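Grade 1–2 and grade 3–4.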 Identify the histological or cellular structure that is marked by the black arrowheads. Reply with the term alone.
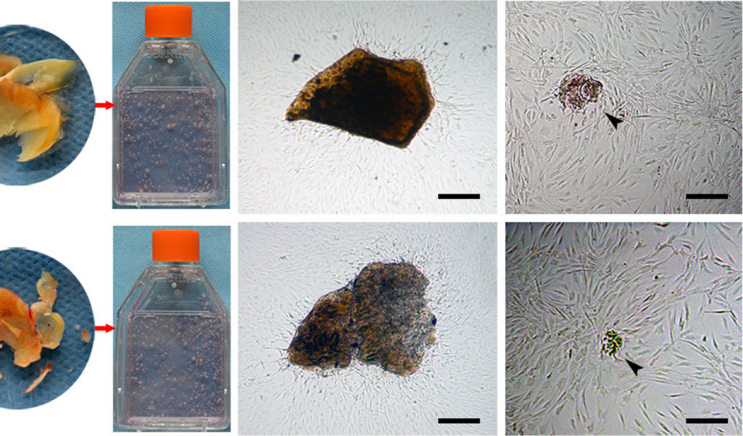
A: Cartilage pieces.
